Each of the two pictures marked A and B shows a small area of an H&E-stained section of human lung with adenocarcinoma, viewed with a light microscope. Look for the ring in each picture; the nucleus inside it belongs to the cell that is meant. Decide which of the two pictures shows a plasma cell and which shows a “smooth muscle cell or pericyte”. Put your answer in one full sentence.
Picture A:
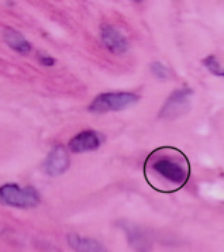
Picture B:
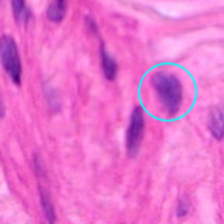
It is picture A that shows a plasma cell, and picture B that shows a “smooth muscle cell or pericyte”.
